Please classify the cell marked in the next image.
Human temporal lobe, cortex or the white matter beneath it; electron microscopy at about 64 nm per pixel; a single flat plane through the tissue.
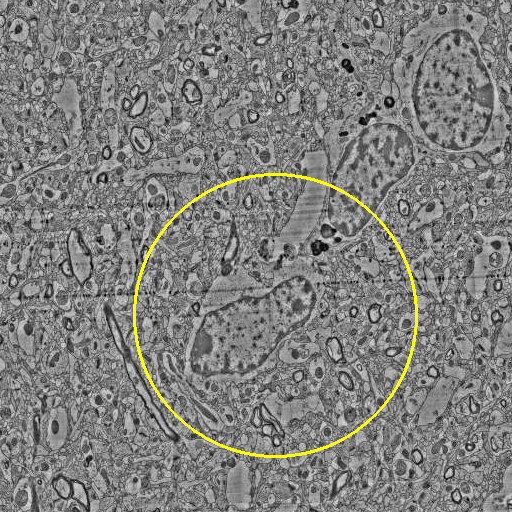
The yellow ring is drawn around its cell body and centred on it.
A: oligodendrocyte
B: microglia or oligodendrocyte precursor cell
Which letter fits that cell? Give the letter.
B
